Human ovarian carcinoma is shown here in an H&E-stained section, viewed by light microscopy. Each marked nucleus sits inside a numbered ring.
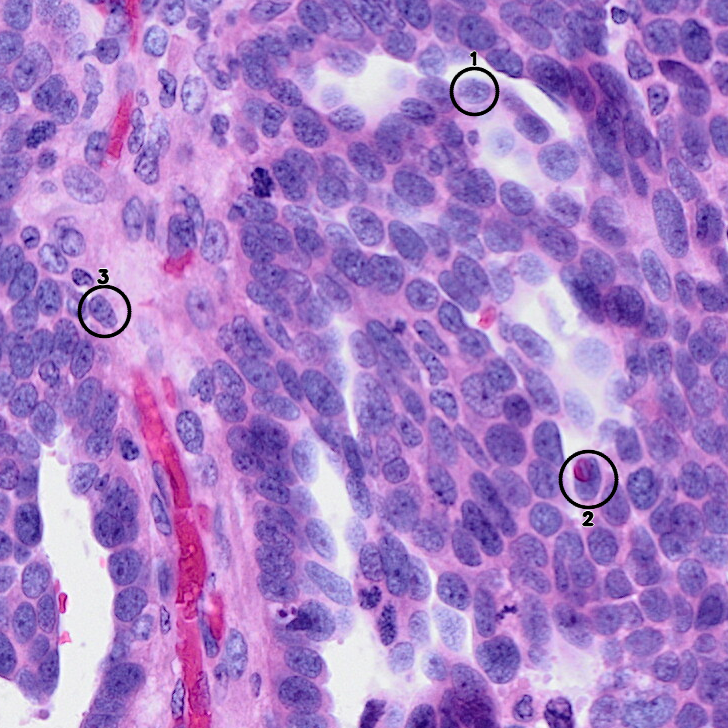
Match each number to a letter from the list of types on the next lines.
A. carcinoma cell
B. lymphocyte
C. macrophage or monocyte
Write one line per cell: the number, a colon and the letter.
1: A
2: A
3: C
